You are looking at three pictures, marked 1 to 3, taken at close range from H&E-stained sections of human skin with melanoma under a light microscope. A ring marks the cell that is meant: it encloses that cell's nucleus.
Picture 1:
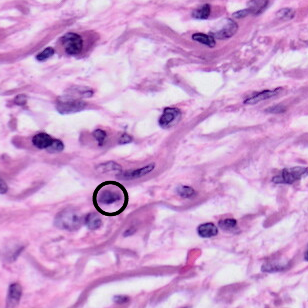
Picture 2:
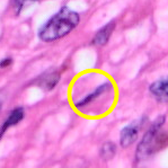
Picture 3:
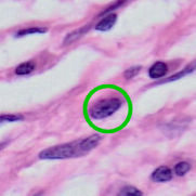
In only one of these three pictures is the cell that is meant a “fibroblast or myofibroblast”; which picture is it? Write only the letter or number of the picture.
2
